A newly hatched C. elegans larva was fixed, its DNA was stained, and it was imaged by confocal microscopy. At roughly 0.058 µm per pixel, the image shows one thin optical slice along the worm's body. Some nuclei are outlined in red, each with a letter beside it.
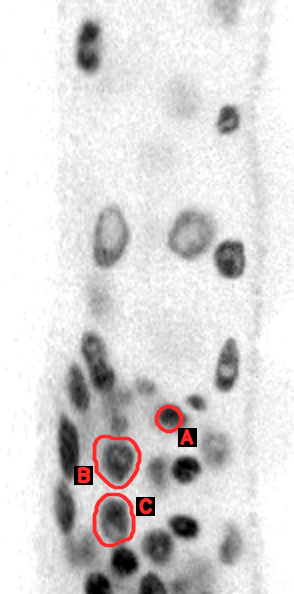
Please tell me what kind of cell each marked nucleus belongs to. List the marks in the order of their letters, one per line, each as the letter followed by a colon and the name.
A: valve cell of the gut
B: pharyngeal muscle cell
C: pharyngeal muscle cell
